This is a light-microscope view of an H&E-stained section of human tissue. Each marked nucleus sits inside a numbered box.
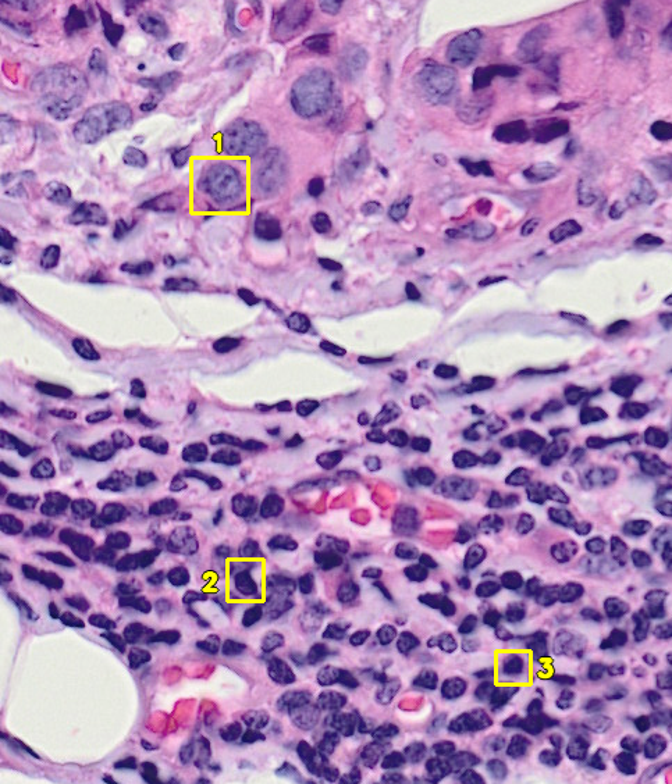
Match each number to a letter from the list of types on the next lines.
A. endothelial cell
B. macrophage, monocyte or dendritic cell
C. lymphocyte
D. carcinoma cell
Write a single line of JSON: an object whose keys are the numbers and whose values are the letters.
{"1": "D", "2": "C", "3": "C"}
